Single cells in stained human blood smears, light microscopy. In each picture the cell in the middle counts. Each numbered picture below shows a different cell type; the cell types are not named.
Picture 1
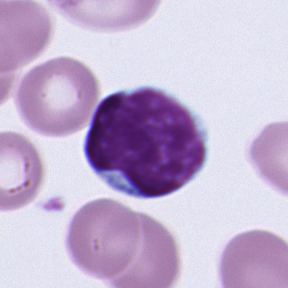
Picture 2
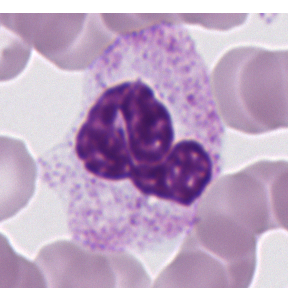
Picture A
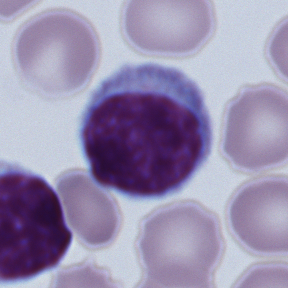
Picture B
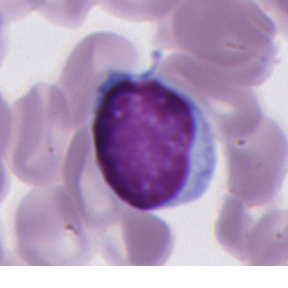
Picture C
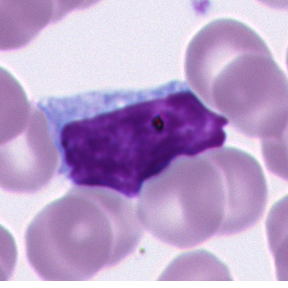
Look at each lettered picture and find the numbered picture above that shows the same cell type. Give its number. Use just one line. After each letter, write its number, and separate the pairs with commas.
A 1, B 1, C 1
